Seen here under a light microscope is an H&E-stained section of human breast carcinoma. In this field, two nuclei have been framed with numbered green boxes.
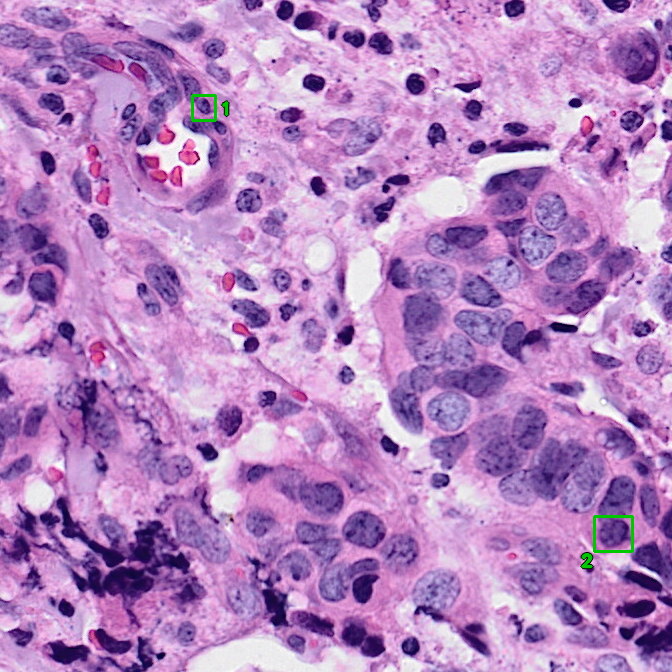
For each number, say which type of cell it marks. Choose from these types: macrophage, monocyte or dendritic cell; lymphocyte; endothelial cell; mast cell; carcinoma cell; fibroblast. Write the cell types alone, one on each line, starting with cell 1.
endothelial cell
carcinoma cell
